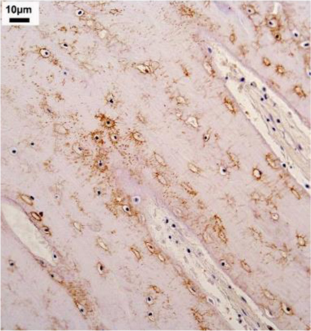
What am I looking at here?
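This is bone tissue with many osteocytes lying singly in lacunae, spread fairly evenly through a pale pink mineralised matrix. Elongated pale spaces crossing the field diagonally hold rows of small flattened nuclei along their edges.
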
